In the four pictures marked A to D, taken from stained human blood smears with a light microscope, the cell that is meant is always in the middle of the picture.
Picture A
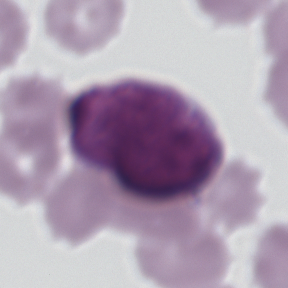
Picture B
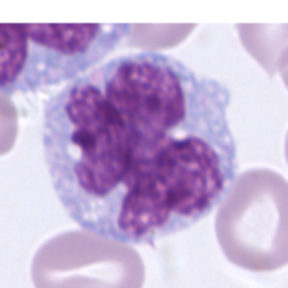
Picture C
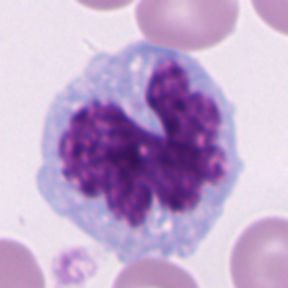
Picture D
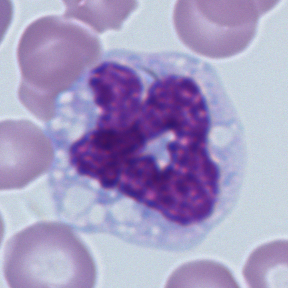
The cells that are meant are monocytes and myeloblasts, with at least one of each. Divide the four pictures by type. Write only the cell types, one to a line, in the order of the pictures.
myeloblast
monocyte
monocyte
monocyte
